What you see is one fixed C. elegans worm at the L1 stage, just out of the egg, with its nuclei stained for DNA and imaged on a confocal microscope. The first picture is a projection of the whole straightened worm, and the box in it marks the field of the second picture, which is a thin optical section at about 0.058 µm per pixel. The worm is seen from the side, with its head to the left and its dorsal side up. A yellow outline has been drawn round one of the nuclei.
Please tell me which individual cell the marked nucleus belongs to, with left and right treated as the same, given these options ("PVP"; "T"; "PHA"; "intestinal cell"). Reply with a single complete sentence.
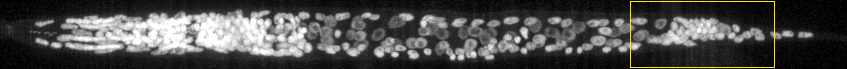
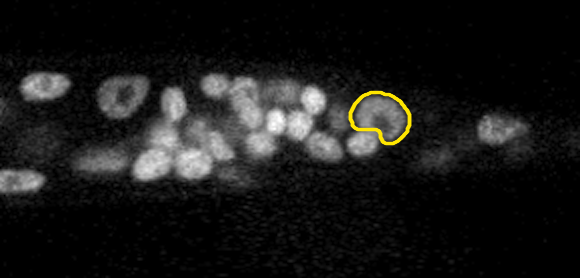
The marked nucleus belongs to T, a seam cell.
